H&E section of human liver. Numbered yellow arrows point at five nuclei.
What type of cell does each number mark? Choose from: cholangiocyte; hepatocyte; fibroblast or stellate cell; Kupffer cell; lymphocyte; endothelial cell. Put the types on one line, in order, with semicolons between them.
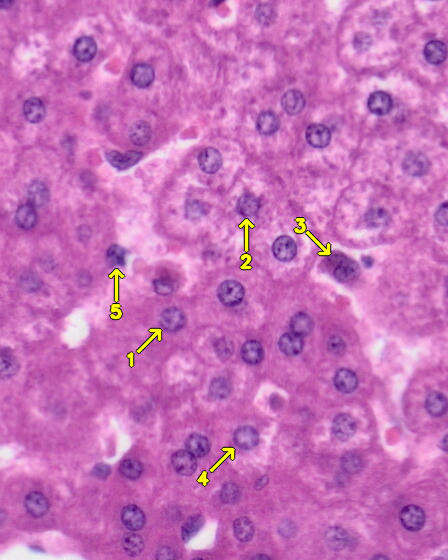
hepatocyte; hepatocyte; Kupffer cell; hepatocyte; endothelial cell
